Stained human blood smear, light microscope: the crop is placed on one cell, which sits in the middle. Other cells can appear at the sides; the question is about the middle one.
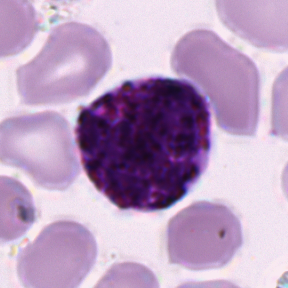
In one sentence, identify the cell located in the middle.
The central cell in this smear crop is a basophil.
